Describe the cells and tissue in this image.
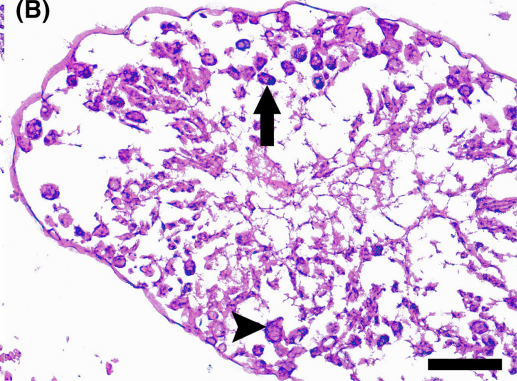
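Cross-section of an atrophic spermatogenic tubule of the testis with severe loss of cells. The tubule outline is irregular rather than round, bounded by a thin pink wall. Inside, cells are sparse and scattered in a pale, largely empty space, separated from one another rather than forming layers. Isolated rounded cells with dark round nuclei lie loose in the interior, and some cells remain close to the basal wall. A delicate pink network of fine strands occupies the center, and there are no dense radiating bundles converging on a lumen.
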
